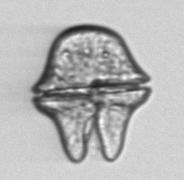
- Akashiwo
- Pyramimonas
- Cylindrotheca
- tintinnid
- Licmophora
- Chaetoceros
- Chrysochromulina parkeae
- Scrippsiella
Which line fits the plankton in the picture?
Akashiwo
